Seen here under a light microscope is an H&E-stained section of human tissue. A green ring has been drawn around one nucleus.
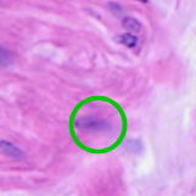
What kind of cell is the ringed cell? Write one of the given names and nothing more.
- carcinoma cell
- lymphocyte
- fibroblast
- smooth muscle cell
smooth muscle cell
